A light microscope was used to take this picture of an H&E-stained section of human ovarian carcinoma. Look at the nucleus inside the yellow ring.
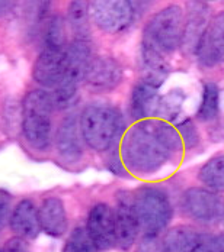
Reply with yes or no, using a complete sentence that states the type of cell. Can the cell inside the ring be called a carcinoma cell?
Yes, in short, the cell inside the ring is a carcinoma cell here.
